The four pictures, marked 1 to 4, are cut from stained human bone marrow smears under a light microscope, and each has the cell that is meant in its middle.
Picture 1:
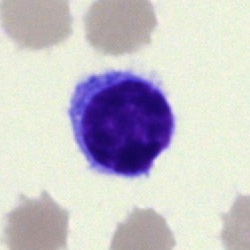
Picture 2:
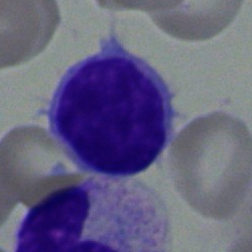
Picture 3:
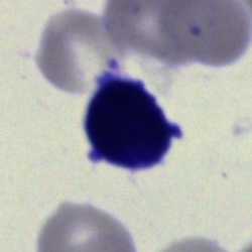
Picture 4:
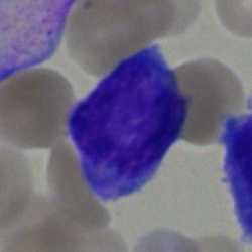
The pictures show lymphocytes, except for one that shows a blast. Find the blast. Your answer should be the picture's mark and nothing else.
4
